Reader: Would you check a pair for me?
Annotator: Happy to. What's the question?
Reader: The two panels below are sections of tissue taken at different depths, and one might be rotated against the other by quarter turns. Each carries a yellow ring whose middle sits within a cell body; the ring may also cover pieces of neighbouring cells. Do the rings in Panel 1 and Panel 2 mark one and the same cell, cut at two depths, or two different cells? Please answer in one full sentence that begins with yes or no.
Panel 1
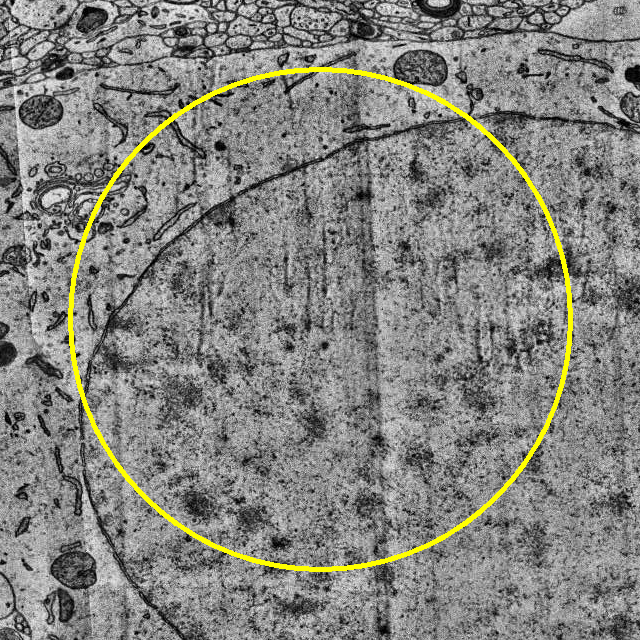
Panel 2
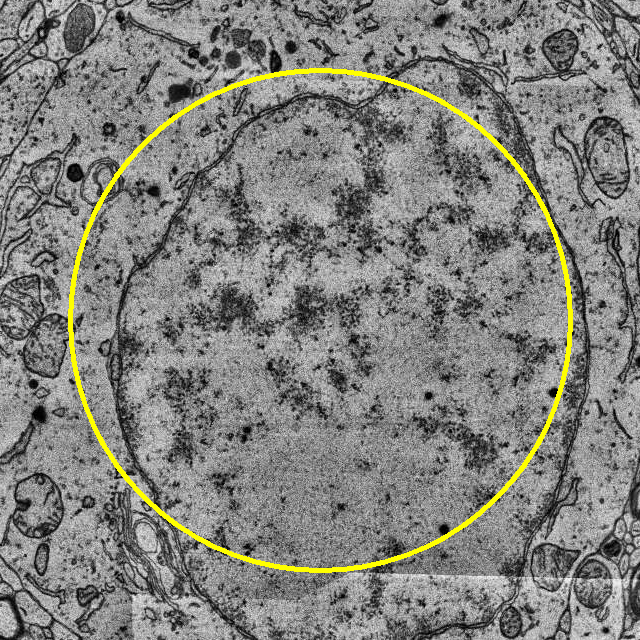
No, two different cells are marked by the two rings.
